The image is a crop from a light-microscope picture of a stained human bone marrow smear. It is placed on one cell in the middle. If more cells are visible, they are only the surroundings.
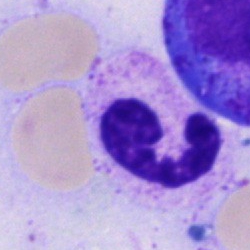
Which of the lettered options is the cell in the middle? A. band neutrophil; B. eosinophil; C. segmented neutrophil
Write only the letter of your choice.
C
